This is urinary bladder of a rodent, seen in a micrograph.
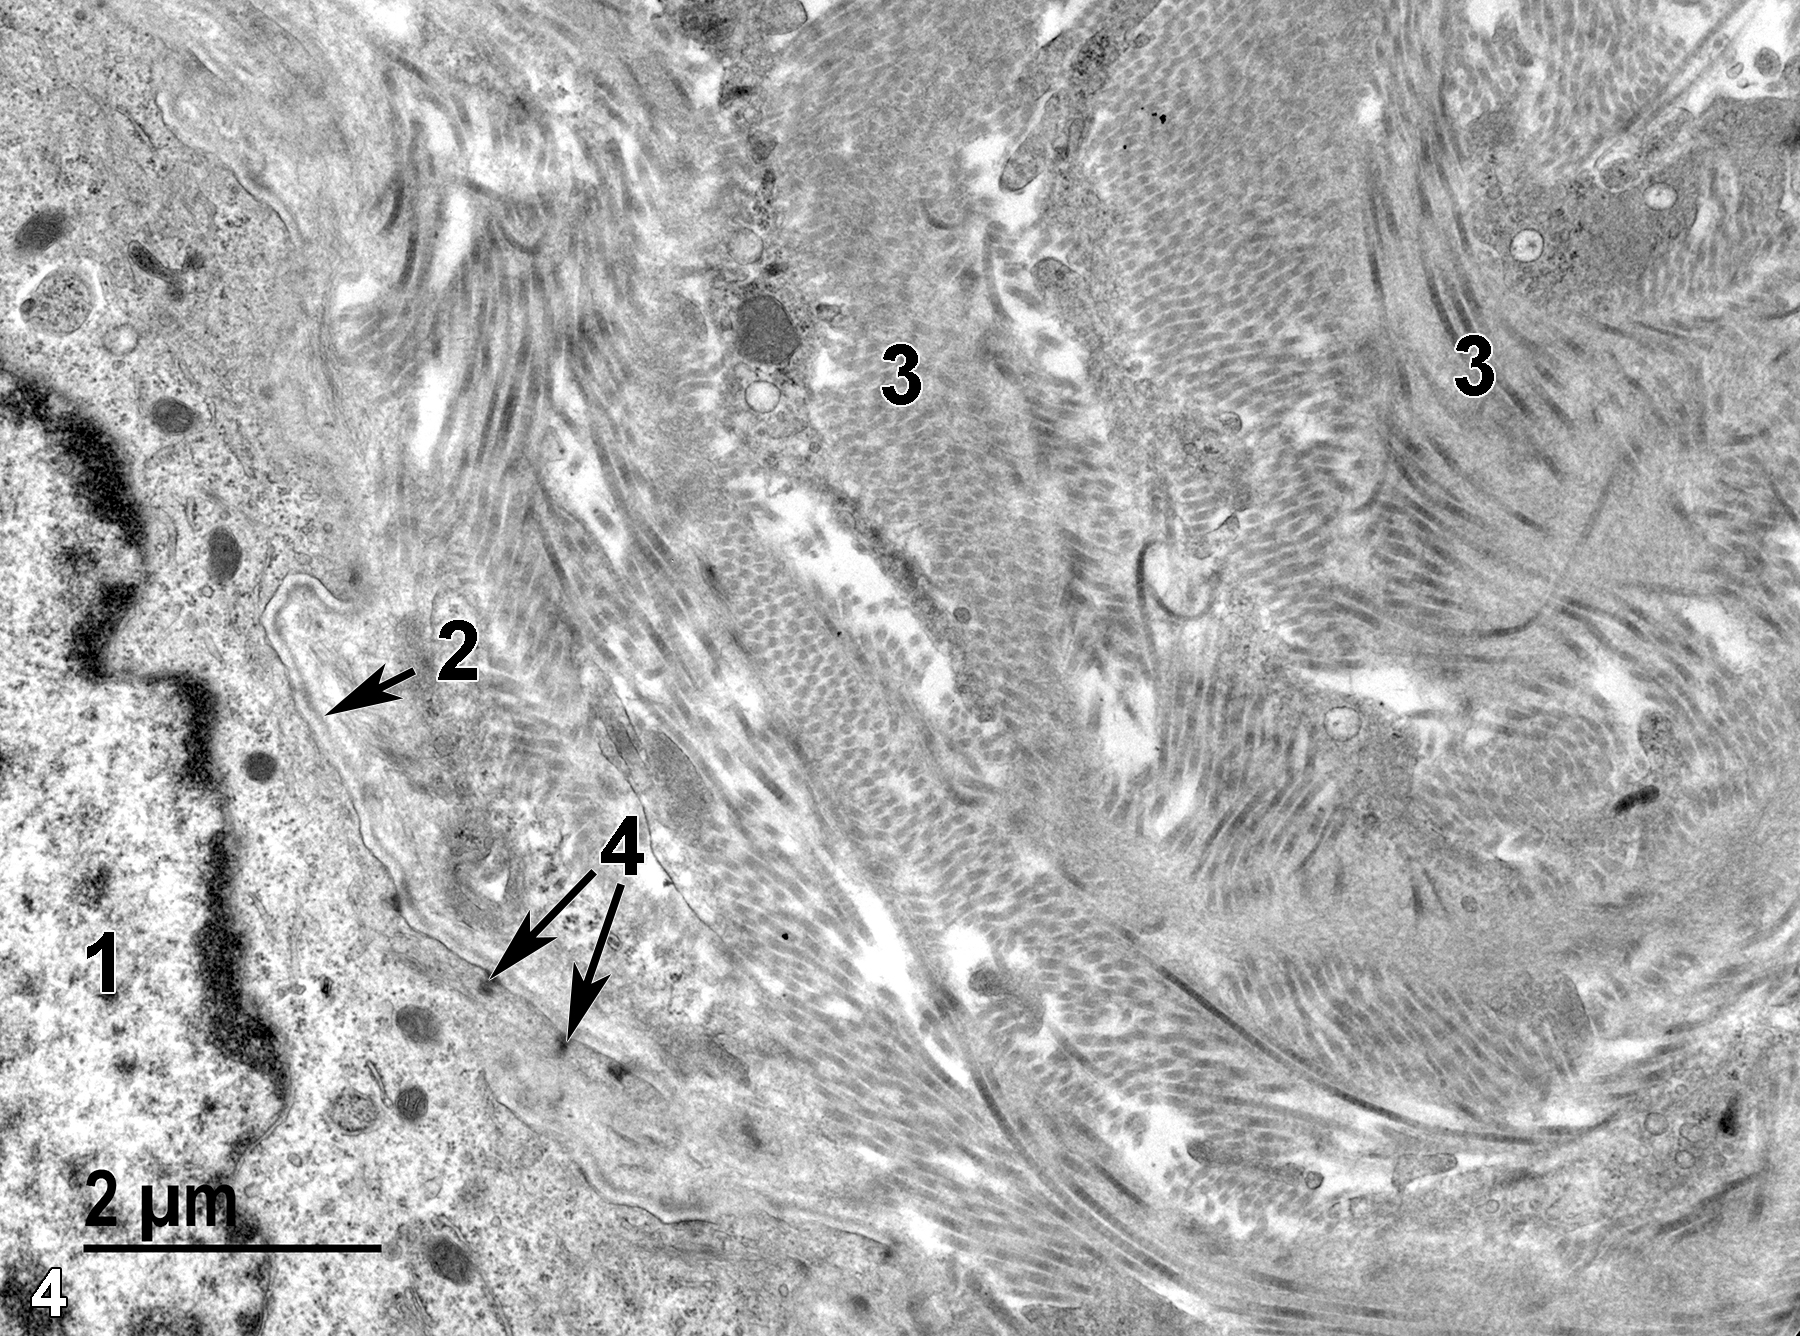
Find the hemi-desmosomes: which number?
It's 4.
